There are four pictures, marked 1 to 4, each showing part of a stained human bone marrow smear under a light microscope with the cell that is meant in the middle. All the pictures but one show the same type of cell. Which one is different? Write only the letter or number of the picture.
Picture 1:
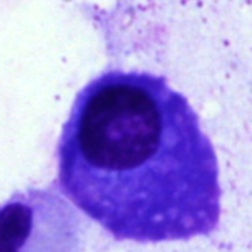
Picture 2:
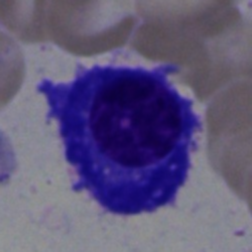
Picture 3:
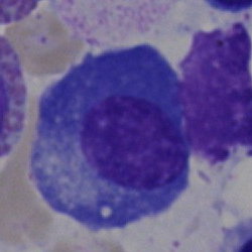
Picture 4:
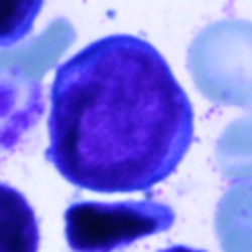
4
